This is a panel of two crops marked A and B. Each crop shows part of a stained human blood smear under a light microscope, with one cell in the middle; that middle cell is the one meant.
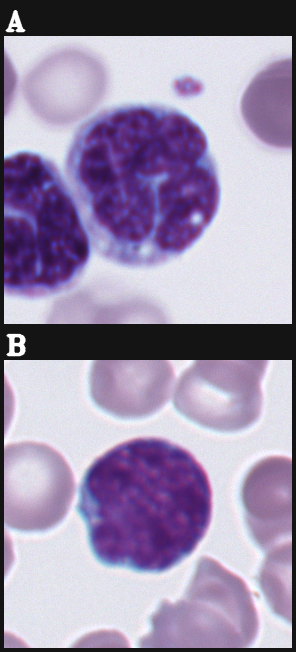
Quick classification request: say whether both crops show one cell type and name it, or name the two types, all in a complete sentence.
No, crop A carries a monocyte at its centre, and crop B carries a myeloblast.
